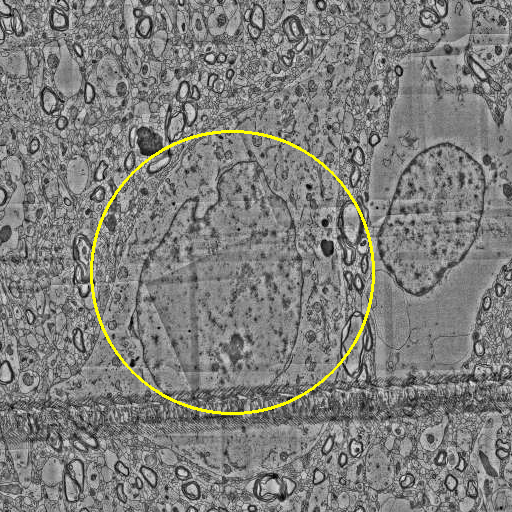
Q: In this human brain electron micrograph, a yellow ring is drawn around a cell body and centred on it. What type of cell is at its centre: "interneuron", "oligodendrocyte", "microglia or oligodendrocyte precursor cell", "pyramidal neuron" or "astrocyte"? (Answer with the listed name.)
pyramidal neuron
